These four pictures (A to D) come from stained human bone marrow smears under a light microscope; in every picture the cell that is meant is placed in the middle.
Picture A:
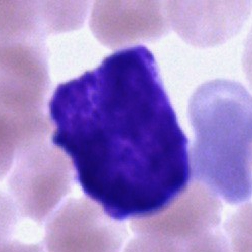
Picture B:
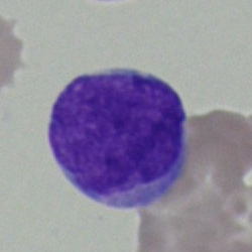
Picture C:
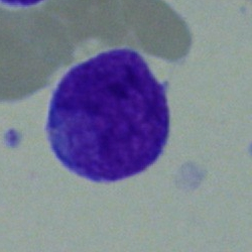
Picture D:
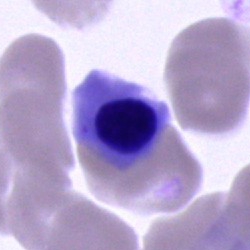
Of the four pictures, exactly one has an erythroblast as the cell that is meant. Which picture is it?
D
